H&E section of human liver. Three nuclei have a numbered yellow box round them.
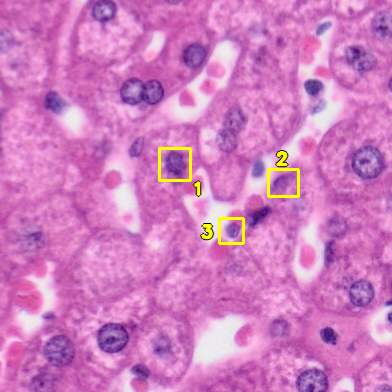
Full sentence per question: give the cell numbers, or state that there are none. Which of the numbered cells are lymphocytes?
Only at number 3 is there a lymphocyte.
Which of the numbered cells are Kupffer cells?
The cell bearing the number 2 is a Kupffer cell, unlike the rest of the numbered cells.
